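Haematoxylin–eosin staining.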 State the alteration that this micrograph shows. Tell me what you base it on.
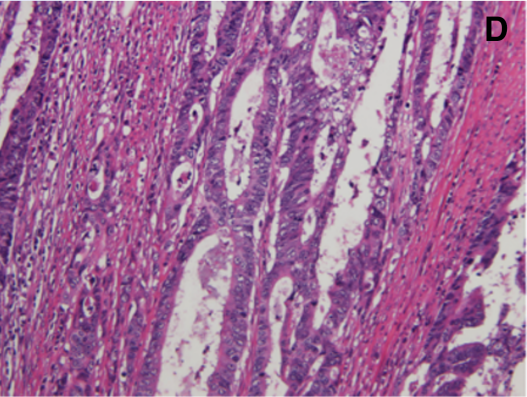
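Moderately differentiated tubular adenocarcinoma. Elongated tubular glands lined by tall columnar cells with crowded, stratified dark nuclei. The glands infiltrate between pink bundles of smooth muscle. Some gland lumina contain necrotic debris.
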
